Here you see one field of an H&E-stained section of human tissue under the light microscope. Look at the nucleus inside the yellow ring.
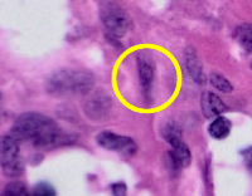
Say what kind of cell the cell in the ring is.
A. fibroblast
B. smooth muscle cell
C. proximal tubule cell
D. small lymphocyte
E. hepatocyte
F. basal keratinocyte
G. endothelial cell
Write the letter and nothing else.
G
